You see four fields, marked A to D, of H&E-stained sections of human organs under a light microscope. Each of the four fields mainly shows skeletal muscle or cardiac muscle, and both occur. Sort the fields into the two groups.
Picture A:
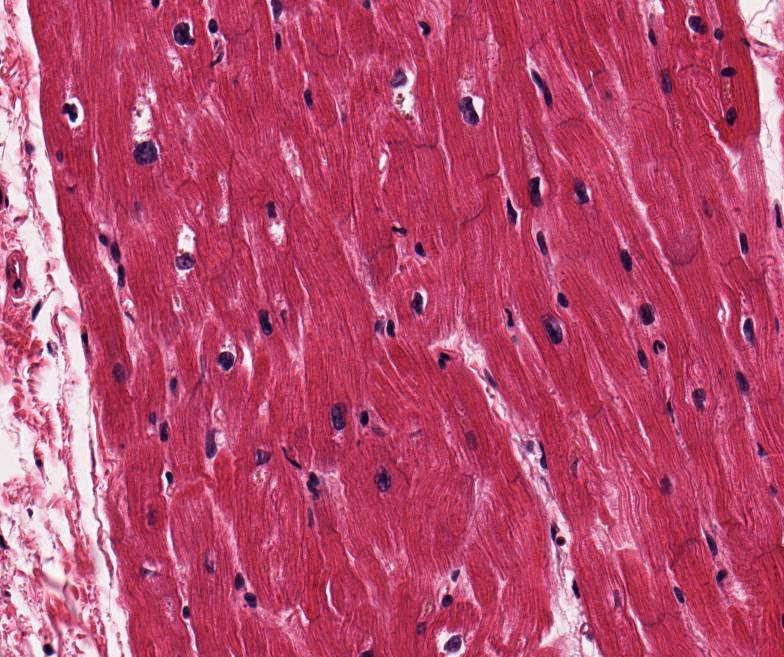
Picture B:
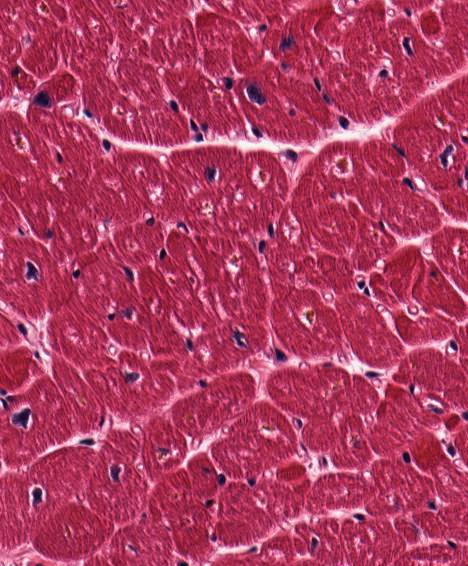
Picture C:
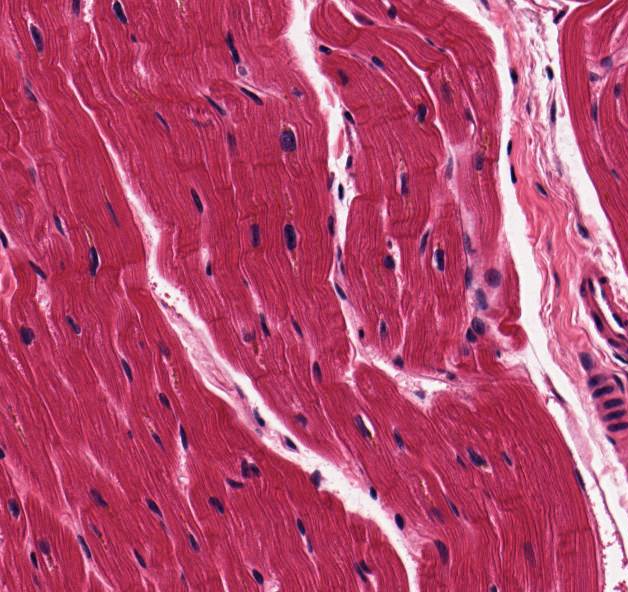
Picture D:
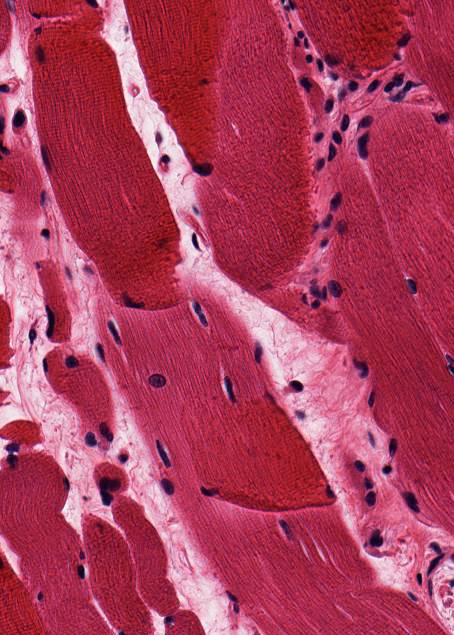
A: cardiac muscle
B: cardiac muscle
C: cardiac muscle
D: skeletal muscle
